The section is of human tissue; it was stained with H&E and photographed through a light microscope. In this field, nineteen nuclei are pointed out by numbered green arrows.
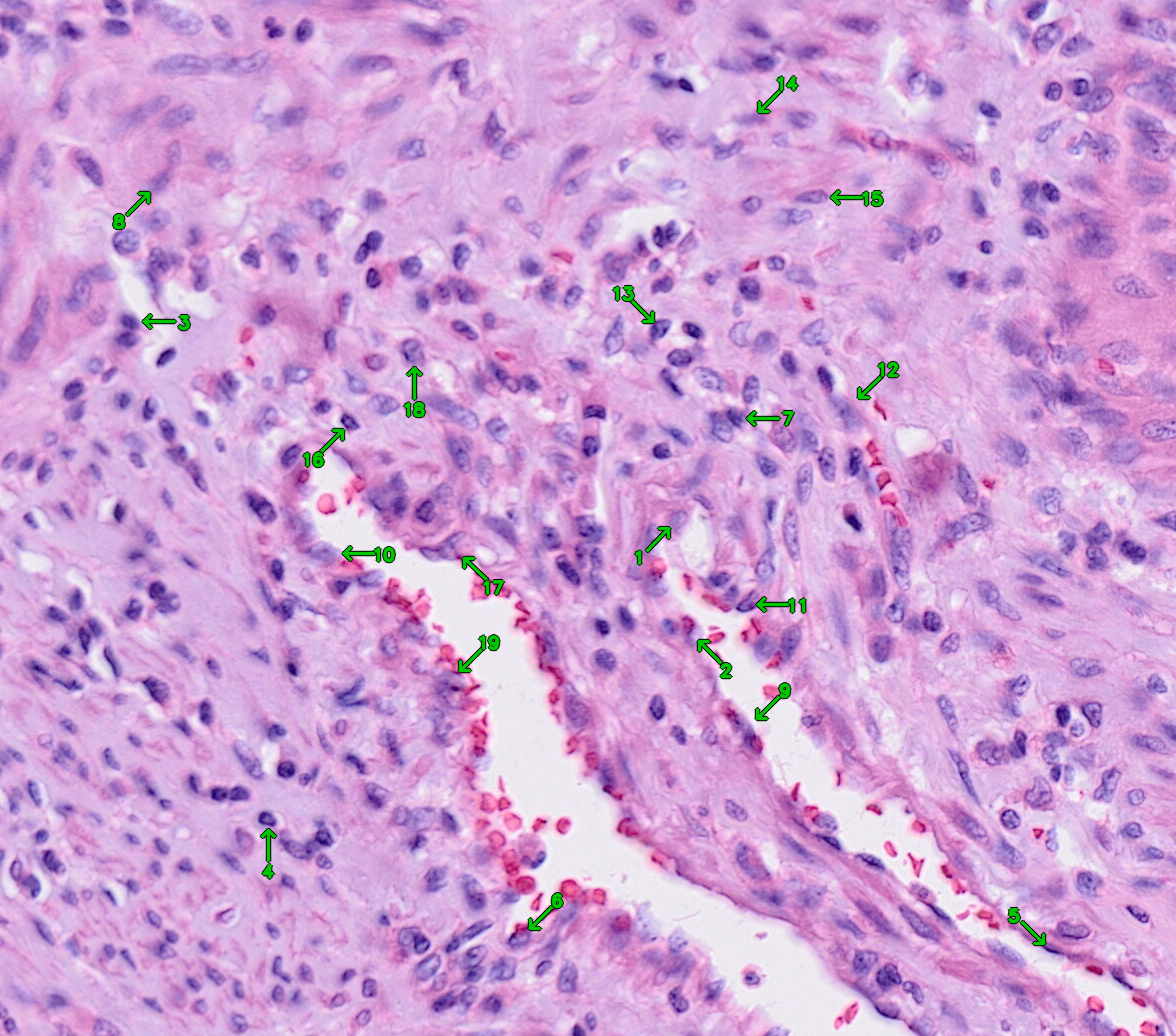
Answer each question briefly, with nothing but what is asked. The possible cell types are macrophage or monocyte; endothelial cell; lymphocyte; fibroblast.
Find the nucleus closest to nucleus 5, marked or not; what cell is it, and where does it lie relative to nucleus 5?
a macrophage or monocyte, above and to the right of nucleus 5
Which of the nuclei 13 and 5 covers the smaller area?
5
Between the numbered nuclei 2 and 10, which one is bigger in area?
10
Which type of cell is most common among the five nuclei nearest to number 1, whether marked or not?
endothelial cell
